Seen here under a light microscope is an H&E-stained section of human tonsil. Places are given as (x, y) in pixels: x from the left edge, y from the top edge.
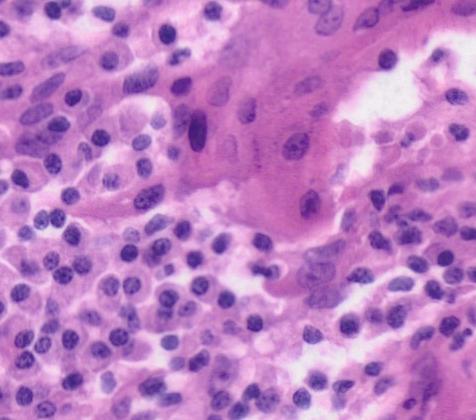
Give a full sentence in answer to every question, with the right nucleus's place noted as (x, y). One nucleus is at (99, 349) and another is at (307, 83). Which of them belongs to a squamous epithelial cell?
Of these two nuclei, only the one at (307, 83) belongs to a squamous epithelial cell.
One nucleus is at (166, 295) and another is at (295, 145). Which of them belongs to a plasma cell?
Heads up, the nucleus at (166, 295) is the one that belongs to a plasma cell.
